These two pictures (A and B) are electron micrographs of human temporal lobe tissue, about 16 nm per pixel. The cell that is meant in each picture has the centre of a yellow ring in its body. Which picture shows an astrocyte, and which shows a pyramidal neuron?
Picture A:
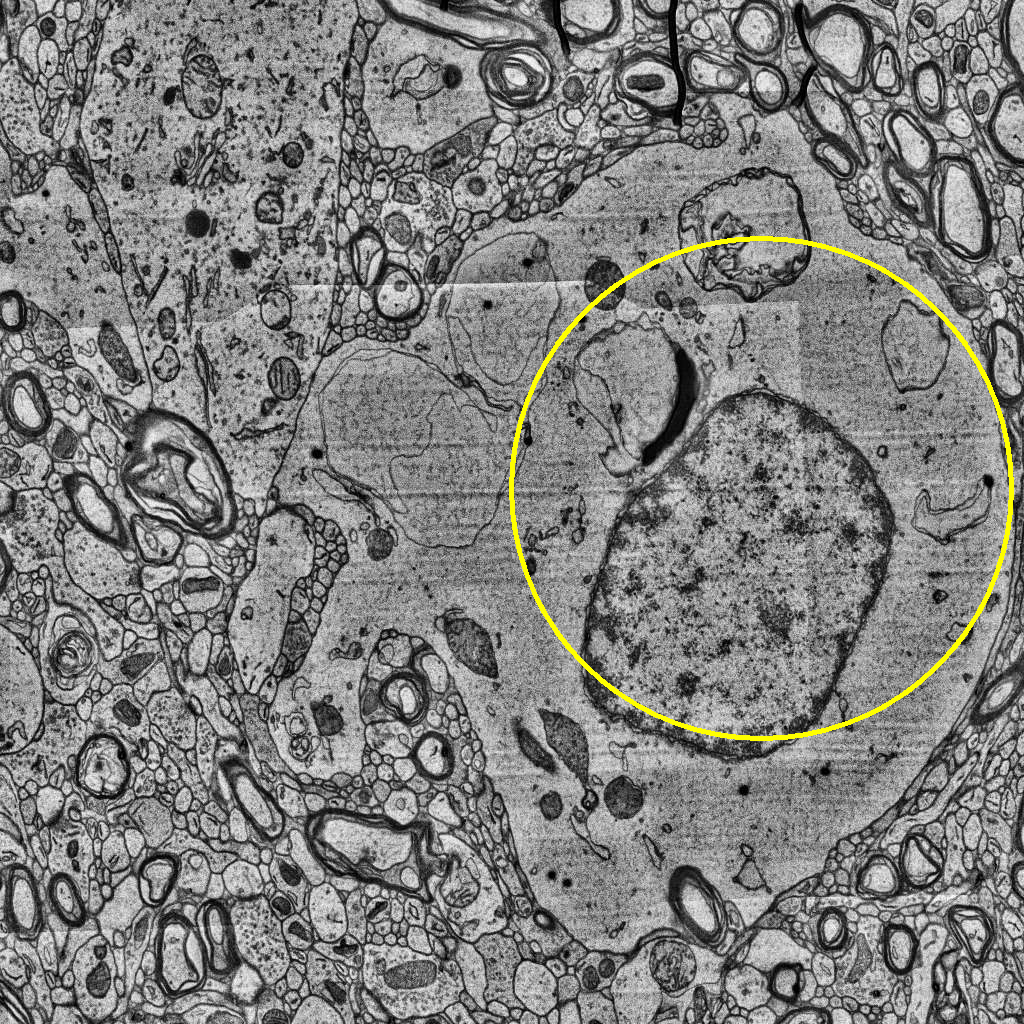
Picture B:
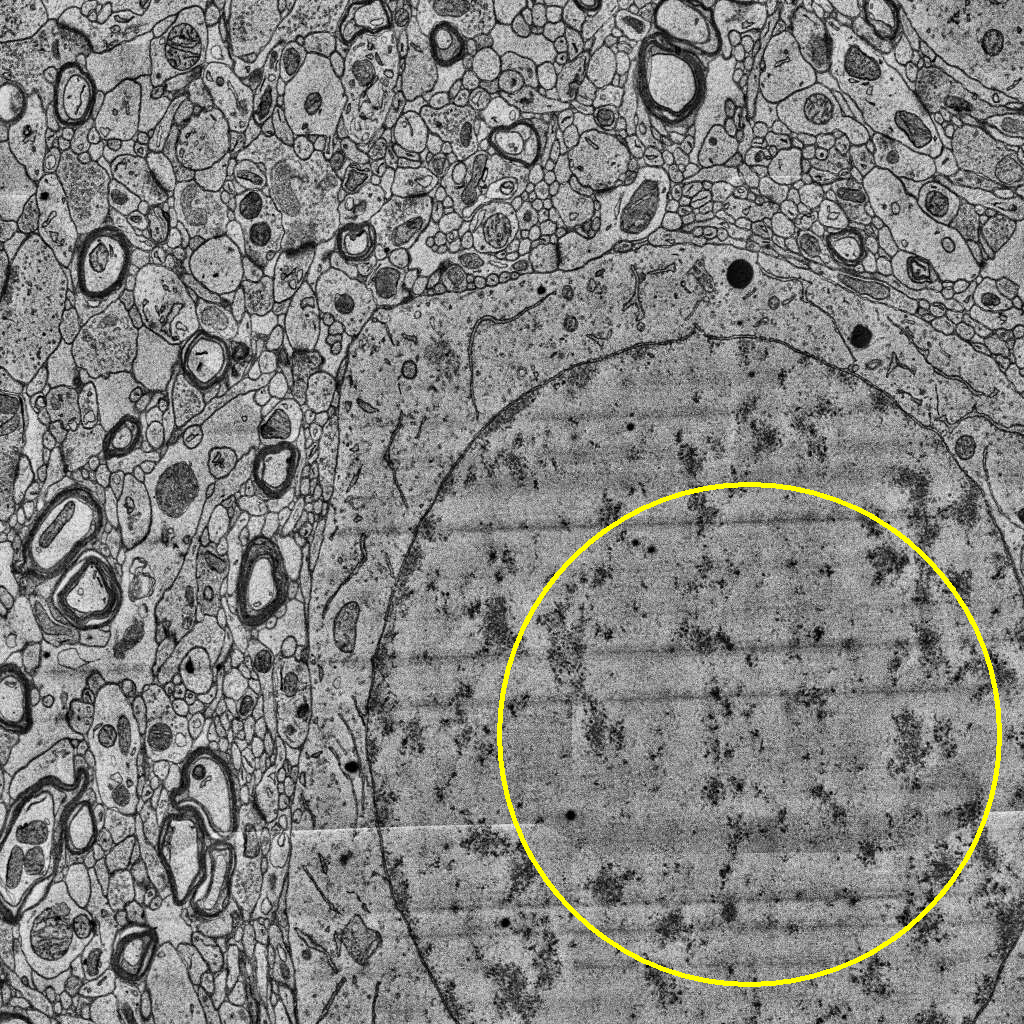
Picture B shows a pyramidal neuron, while picture A shows an astrocyte.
